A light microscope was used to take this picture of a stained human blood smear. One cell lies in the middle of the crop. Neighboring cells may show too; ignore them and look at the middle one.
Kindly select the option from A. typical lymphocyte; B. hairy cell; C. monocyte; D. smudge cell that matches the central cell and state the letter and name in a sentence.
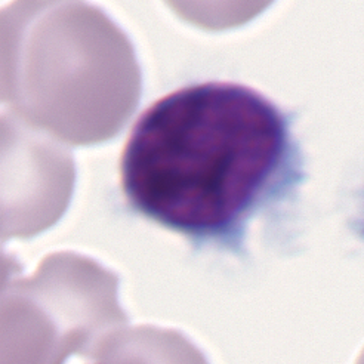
The middle of the crop holds a hairy cell, which points to option B.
